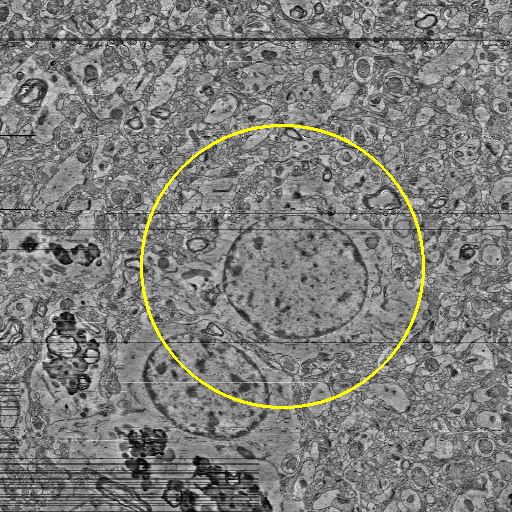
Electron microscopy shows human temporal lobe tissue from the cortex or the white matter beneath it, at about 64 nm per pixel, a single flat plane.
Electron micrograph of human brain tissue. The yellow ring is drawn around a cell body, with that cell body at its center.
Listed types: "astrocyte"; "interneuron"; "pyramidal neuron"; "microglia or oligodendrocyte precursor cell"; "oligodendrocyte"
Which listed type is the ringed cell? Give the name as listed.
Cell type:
astrocyte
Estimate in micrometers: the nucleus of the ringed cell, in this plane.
In this plane, approximately 9 micrometres across.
